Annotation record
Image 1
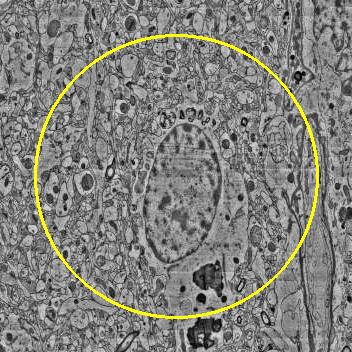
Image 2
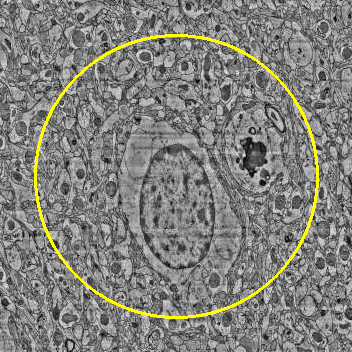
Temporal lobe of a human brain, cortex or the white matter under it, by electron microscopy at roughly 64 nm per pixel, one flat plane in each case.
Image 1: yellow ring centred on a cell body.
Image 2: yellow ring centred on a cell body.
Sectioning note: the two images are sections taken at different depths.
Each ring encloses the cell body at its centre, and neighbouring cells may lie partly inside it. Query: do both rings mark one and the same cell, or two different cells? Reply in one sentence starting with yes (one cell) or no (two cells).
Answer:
No, these are two different cells, each marked with a ring.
